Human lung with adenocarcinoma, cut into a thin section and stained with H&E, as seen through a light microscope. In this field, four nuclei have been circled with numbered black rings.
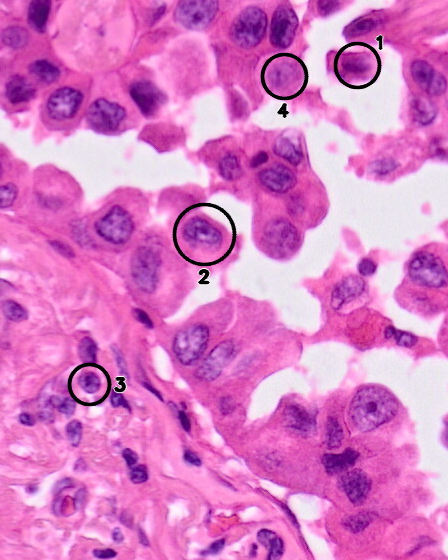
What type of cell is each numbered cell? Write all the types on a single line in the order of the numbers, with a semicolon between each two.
carcinoma cell; carcinoma cell; lymphocyte; carcinoma cell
